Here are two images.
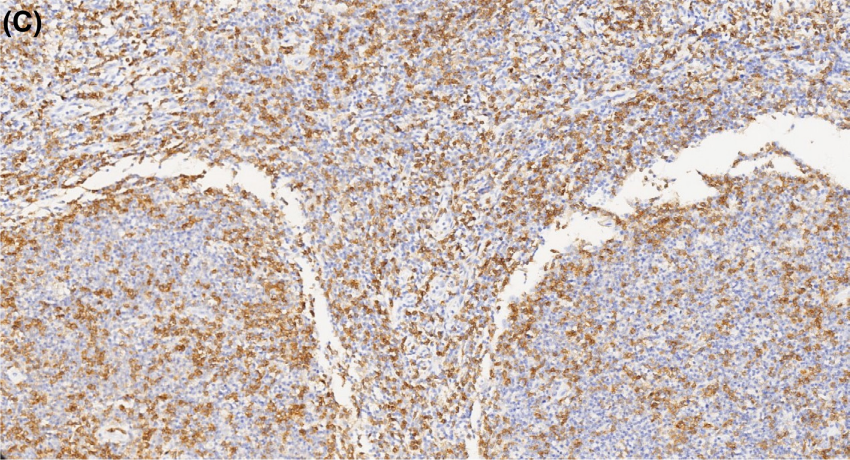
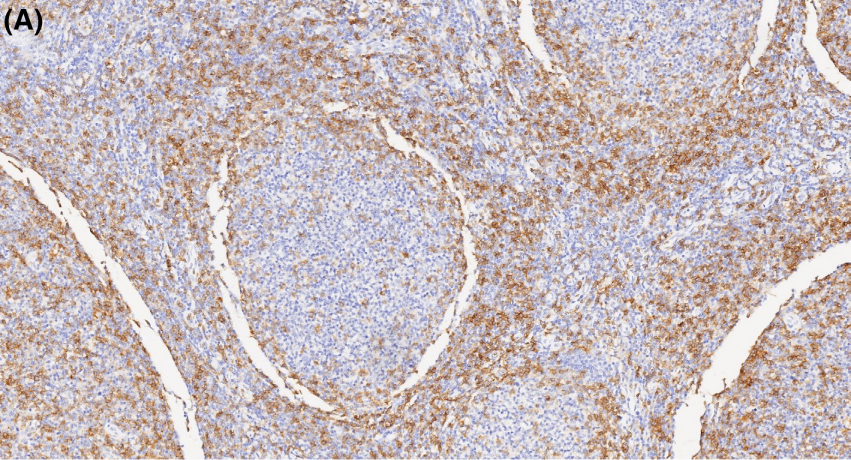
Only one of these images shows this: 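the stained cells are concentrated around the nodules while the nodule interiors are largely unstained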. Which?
the second image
